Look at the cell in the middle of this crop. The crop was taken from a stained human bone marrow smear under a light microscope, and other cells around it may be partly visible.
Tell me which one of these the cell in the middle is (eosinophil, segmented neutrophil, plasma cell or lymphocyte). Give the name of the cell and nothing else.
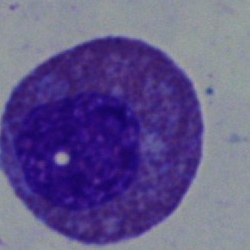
eosinophil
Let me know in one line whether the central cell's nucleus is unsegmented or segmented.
Round, oval or kidney-shaped, the nucleus is one compact mass.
